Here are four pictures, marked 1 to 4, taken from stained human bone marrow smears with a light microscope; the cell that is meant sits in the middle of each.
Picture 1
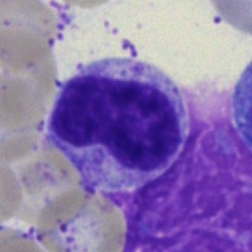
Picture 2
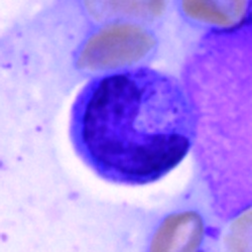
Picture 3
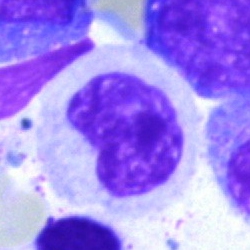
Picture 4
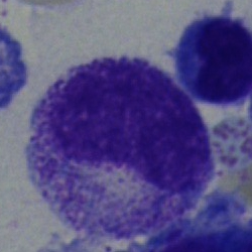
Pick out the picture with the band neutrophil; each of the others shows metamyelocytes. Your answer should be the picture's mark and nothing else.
3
